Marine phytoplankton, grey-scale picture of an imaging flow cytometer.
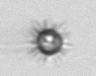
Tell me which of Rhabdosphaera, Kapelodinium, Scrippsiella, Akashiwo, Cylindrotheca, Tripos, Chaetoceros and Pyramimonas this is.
The picture shows Rhabdosphaera.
